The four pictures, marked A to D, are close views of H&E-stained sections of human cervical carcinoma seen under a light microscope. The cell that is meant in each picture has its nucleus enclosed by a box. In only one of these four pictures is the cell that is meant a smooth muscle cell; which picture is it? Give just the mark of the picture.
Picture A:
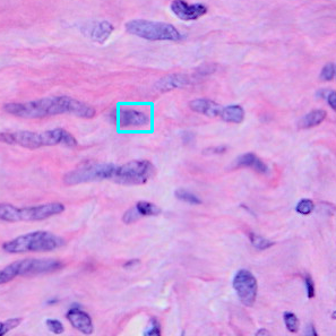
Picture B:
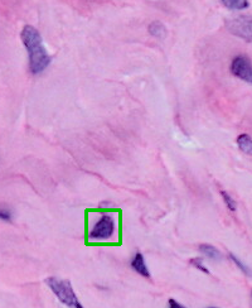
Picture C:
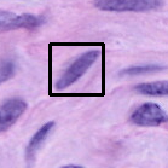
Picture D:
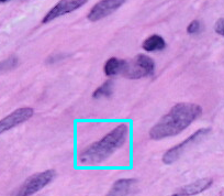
A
